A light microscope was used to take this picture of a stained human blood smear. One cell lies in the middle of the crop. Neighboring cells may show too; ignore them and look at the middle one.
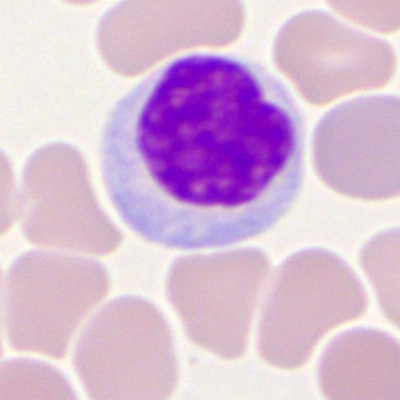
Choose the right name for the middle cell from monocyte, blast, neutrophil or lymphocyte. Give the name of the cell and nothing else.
lymphocyte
